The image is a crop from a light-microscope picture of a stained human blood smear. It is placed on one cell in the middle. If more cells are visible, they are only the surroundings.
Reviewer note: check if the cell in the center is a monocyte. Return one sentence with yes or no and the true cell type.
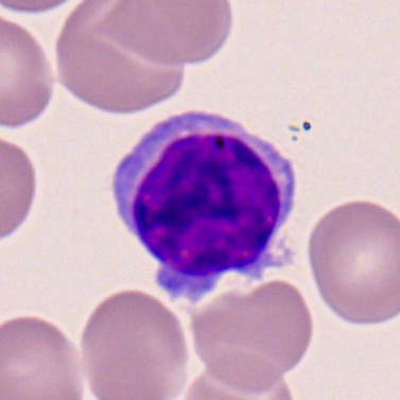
No, the central cell is identified not as a monocyte but as a lymphocyte.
